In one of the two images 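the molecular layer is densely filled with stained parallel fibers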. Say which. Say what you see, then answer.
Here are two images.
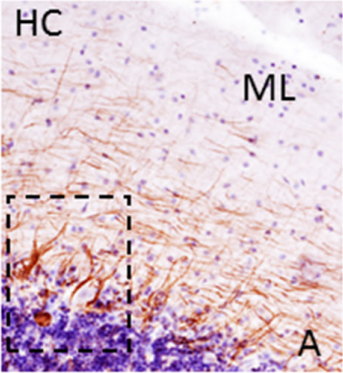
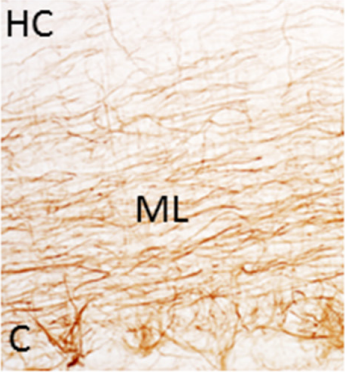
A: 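First image: brown fibers in the molecular layer are sparse, mostly near its lower part.
Hence: the second image.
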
